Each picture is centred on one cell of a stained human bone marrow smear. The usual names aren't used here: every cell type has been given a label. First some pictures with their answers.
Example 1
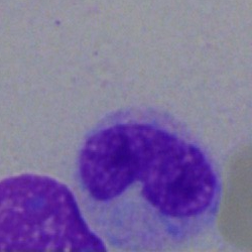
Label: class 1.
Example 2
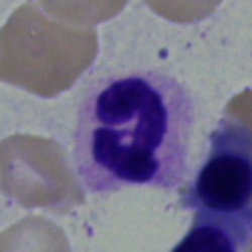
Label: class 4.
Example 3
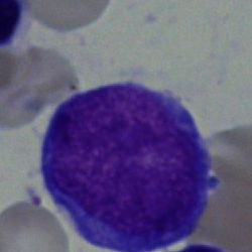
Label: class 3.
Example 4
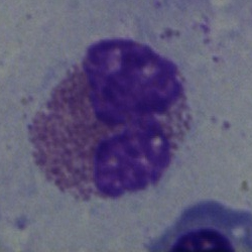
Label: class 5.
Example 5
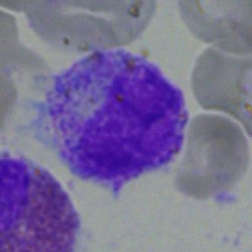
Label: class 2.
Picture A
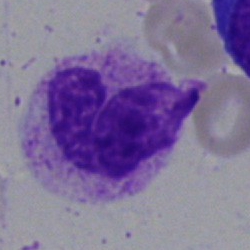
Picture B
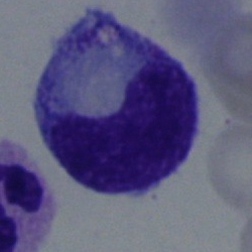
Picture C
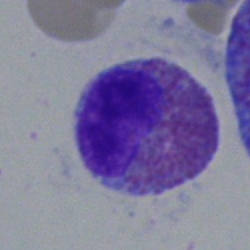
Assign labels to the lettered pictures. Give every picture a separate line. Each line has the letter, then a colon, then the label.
A: class 2.
B: class 2.
C: class 5.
